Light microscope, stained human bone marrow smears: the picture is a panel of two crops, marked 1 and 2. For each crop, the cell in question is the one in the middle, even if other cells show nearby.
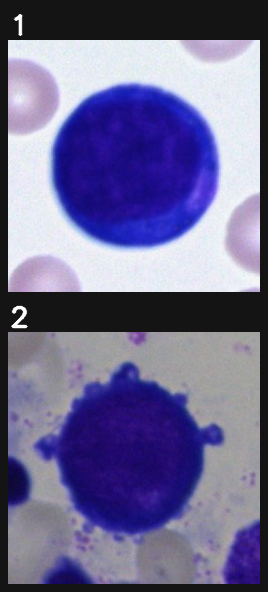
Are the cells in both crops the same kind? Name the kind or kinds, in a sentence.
Yes, that is right, both crops show proerythroblasts.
